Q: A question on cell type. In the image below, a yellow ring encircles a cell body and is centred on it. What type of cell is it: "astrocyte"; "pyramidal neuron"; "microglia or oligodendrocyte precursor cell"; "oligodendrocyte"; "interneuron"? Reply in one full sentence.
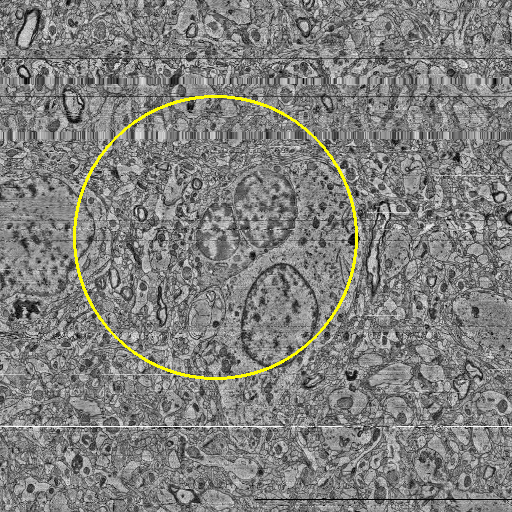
It is an oligodendrocyte whose cell body sits at the centre of the yellow ring in the image.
